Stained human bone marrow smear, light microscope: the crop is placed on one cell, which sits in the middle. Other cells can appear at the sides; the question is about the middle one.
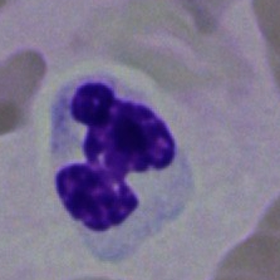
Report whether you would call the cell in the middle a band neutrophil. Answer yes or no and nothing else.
no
